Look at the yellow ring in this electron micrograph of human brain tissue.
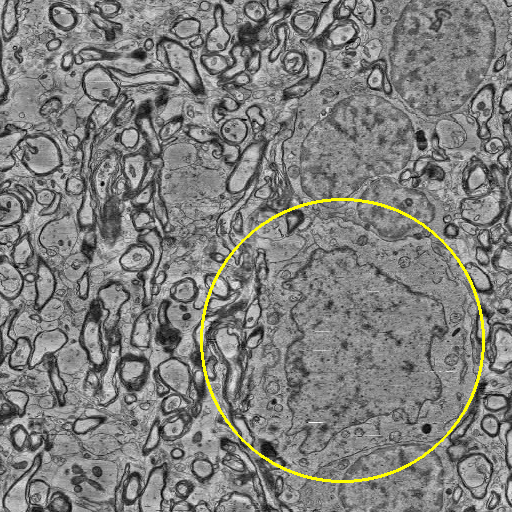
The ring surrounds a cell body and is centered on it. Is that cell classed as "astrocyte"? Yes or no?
No, it is of another kind.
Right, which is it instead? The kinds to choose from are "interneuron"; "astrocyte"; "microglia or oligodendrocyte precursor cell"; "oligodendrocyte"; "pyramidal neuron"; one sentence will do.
The correct answer is that the cell is a pyramidal neuron.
